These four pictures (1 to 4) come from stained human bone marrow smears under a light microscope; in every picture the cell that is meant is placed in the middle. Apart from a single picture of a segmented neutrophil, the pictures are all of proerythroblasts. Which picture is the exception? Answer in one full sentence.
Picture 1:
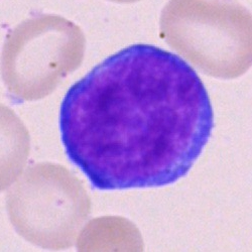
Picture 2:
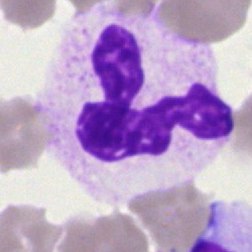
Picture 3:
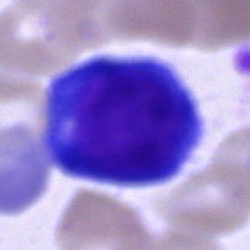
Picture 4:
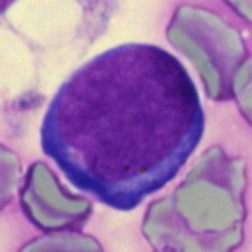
The segmented neutrophil is the one in picture 2.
